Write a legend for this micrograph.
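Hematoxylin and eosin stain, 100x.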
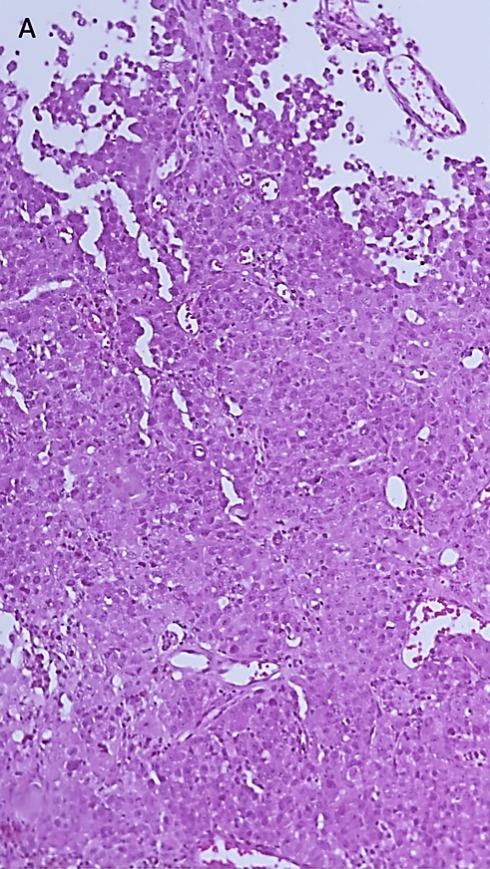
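At low power the tissue consists of sheets of large cells with big nuclei, packed closely together. Thin-walled vessels and narrow clefts run through the sheets. Toward the top the cells are loosened and fall apart into small groups, with a larger vessel at the upper right.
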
